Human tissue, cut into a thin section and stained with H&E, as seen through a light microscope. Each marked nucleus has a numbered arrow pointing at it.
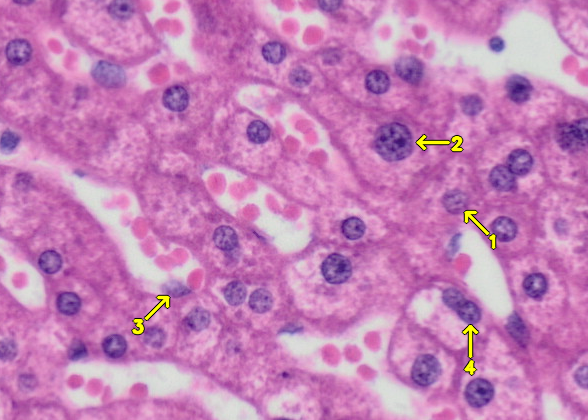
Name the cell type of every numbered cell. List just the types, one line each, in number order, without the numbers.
hepatocyte
hepatocyte
Kupffer cell
hepatocyte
